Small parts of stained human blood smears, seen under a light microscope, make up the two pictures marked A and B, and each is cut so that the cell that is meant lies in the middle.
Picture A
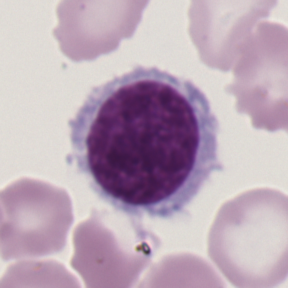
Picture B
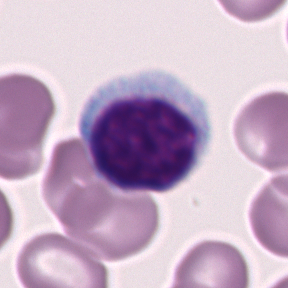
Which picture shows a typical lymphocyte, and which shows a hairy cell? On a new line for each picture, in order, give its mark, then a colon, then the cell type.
A: hairy cell
B: typical lymphocyte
